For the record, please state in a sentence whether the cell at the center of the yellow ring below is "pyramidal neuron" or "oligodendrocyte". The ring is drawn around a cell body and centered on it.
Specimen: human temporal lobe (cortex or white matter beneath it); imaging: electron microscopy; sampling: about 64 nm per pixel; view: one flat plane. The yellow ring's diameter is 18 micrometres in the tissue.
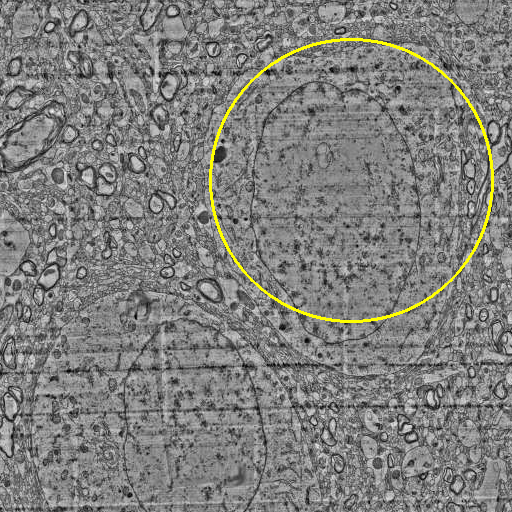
The cell at the ring's center is a pyramidal neuron.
